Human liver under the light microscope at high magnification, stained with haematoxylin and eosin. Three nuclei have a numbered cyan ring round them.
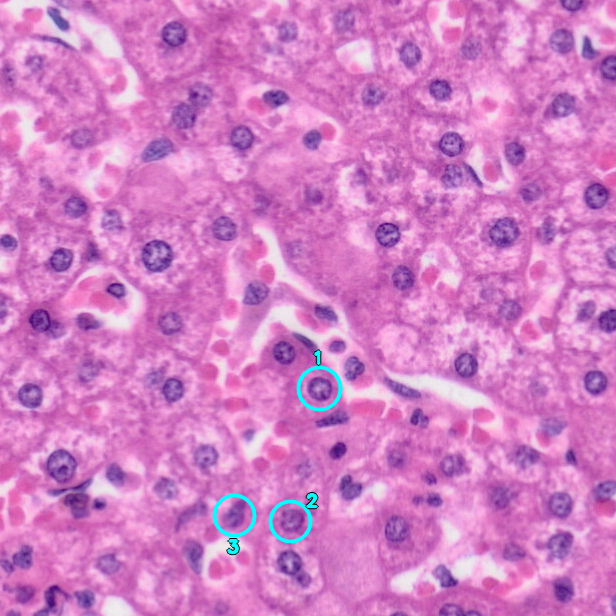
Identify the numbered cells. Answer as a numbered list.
1. hepatocyte
2. hepatocyte
3. fibroblast or stellate cell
